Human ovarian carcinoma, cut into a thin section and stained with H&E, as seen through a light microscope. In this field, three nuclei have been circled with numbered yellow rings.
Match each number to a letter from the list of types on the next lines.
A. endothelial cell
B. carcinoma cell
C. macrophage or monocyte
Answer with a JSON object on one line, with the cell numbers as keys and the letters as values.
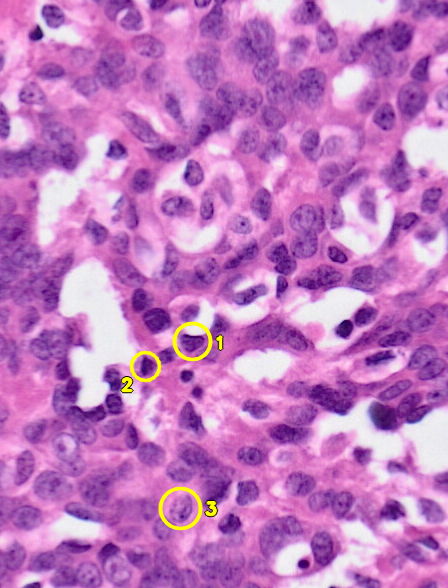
{"1": "B", "2": "C", "3": "C"}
